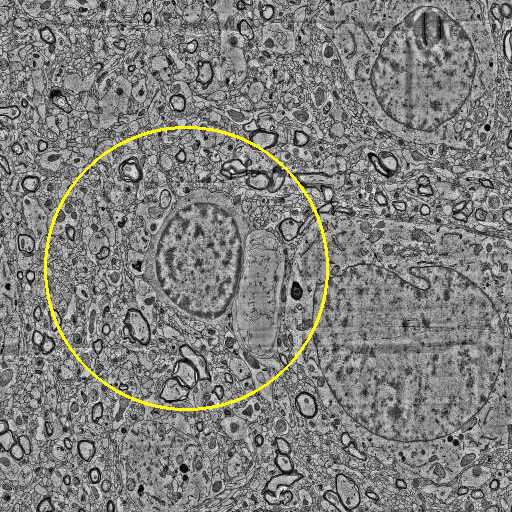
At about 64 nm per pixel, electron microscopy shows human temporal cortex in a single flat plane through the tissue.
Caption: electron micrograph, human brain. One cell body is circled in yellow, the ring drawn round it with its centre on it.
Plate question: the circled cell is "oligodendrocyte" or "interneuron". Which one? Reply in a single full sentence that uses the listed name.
The yellow ring on the plate is centred on an oligodendrocyte, going by the listed names.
